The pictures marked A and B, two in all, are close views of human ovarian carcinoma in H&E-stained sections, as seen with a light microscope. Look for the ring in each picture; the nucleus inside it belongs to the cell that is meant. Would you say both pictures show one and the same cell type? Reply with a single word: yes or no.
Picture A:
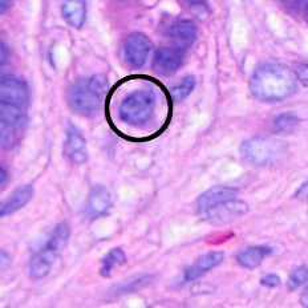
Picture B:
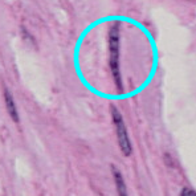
no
